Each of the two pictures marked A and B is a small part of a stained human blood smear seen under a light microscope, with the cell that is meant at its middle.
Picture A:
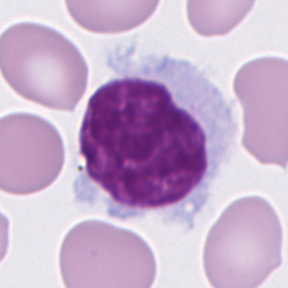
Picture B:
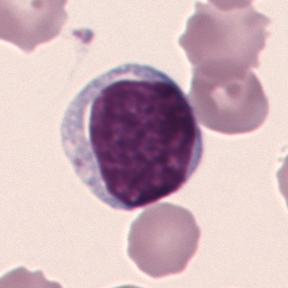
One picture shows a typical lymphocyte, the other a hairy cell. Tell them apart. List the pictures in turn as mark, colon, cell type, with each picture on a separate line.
A: hairy cell
B: typical lymphocyte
